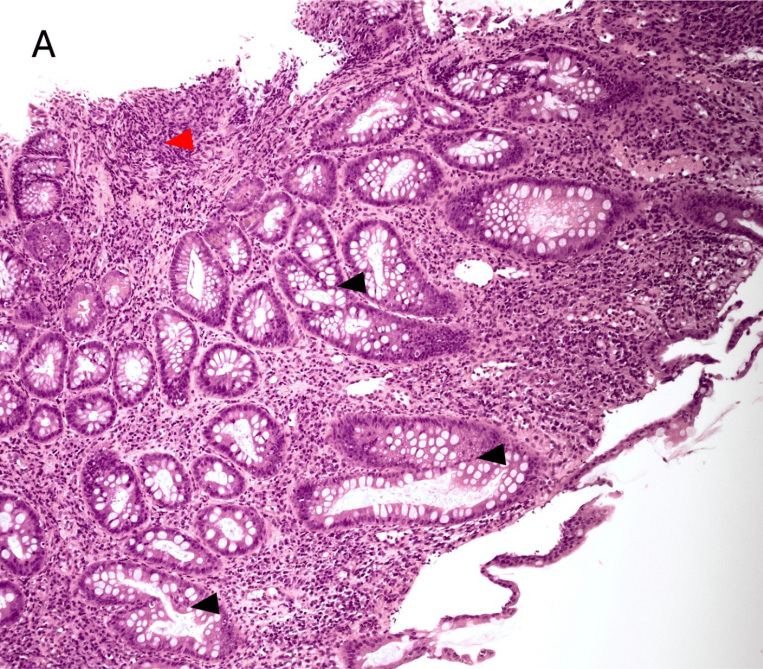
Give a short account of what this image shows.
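This is a low-power view of colonic mucosa with numerous crypts rich in goblet cells set in a cellular lamina propria. The crypts vary in size, shape and spacing, some round in cross-section and others elongated and irregular. Several long crypts with extended lumens look like neighbouring crypts that have merged. Near the upper left surface, an area of lamina propria lacks crypts and is filled with inflammatory cells. The stroma throughout is crowded with cells, most densely toward the right edge of the tissue.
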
